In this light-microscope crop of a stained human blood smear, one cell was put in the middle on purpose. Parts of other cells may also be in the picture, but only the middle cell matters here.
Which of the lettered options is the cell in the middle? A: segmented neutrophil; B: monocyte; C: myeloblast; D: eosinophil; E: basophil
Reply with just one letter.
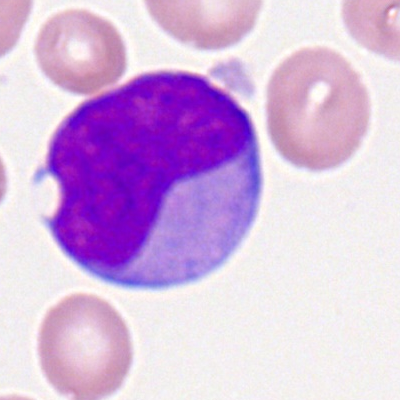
C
